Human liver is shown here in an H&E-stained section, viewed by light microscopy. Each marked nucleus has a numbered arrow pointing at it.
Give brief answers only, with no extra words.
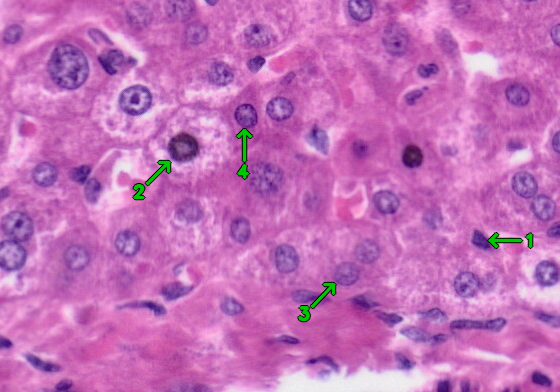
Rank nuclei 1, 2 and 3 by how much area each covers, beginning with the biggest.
2, 3, 1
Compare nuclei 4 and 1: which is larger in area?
4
